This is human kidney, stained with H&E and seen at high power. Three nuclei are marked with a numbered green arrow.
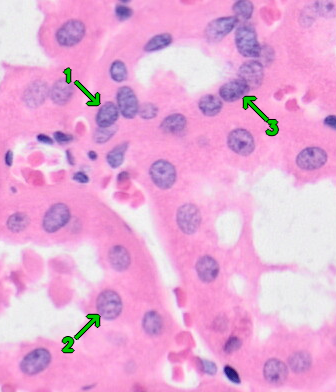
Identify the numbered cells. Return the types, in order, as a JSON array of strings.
["collecting duct cell", "proximal tubule cell", "collecting duct cell"]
